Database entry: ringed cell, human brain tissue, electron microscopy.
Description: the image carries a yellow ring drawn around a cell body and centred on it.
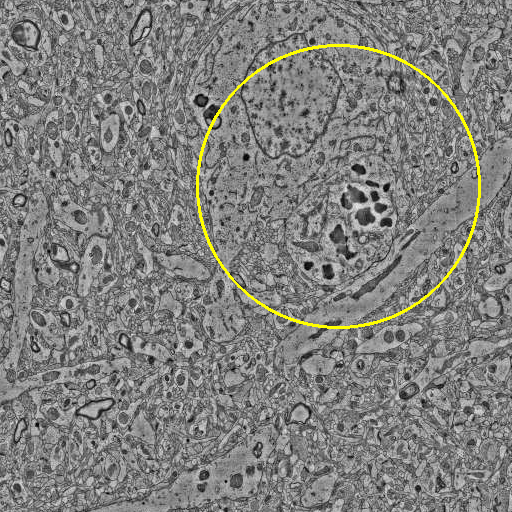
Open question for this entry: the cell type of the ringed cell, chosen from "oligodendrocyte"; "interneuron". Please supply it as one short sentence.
The ringed cell is an interneuron.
